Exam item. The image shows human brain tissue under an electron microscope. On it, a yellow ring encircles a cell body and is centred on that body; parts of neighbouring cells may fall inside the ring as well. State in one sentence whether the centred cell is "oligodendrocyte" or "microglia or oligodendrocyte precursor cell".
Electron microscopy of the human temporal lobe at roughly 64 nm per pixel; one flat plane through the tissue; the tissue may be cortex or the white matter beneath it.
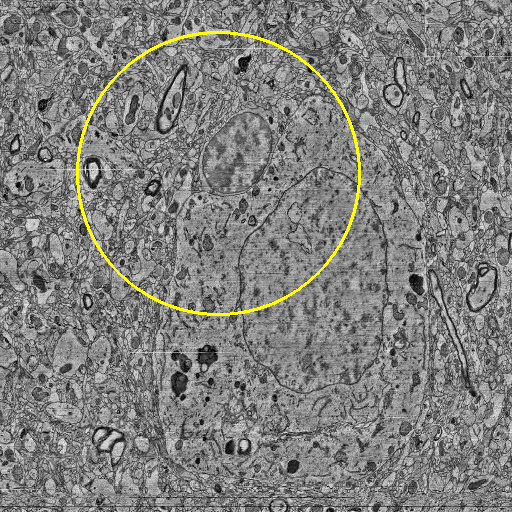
The cell body centred in the ring is an oligodendrocyte.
